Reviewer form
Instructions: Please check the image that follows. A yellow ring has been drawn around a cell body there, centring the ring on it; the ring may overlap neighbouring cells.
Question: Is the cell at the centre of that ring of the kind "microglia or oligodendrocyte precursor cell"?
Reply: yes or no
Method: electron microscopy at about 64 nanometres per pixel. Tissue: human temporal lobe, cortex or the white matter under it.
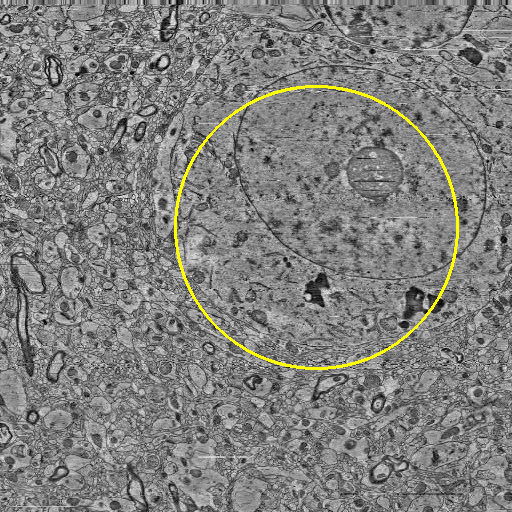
no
